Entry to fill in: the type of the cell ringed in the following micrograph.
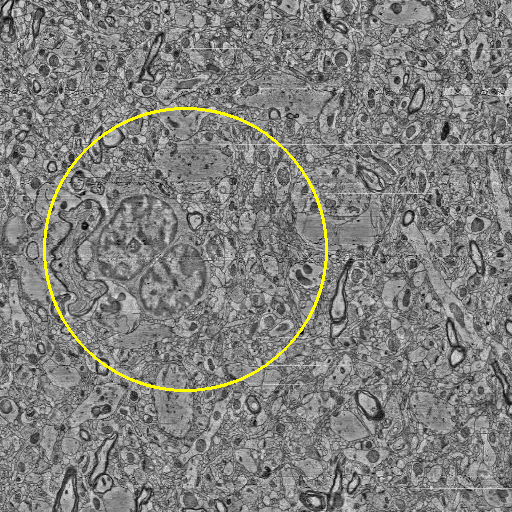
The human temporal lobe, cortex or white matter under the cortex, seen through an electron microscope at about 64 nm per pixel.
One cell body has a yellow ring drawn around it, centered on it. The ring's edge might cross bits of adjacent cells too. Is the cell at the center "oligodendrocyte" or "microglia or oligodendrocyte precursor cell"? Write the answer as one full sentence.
This entry names an oligodendrocyte as the cell whose body lies at the ring's center.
